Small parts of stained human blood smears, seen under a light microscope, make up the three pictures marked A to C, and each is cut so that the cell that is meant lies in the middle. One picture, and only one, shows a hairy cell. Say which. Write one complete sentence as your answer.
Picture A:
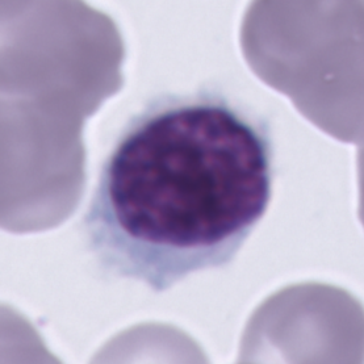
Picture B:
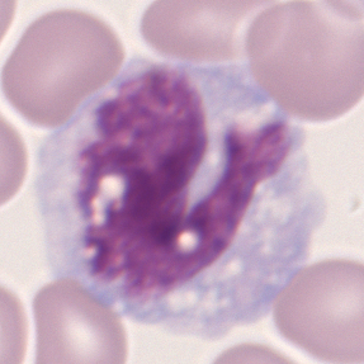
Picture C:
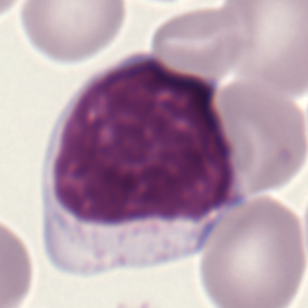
It is picture A that shows the hairy cell.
